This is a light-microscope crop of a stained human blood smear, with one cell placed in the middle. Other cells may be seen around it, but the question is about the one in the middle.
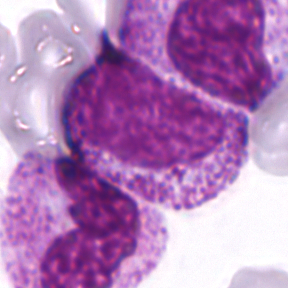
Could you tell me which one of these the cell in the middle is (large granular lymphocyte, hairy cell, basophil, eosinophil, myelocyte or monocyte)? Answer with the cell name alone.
myelocyte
